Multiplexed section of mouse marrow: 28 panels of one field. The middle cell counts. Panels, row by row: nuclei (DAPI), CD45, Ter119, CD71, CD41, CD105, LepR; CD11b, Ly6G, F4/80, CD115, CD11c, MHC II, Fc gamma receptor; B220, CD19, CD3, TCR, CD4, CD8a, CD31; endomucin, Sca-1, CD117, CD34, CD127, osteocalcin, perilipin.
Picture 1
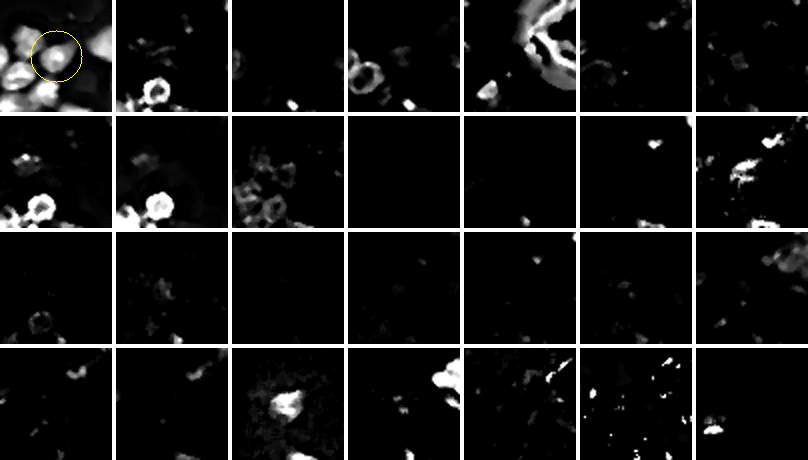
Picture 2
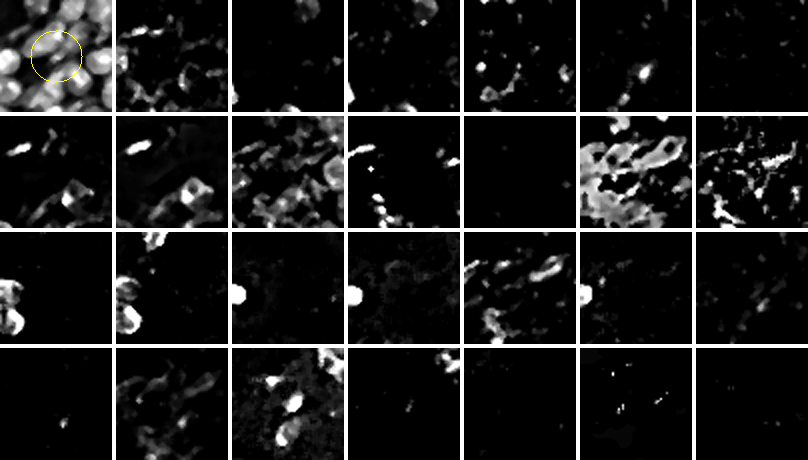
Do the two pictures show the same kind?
Yes, both are granulocyte-monocyte progenitors.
